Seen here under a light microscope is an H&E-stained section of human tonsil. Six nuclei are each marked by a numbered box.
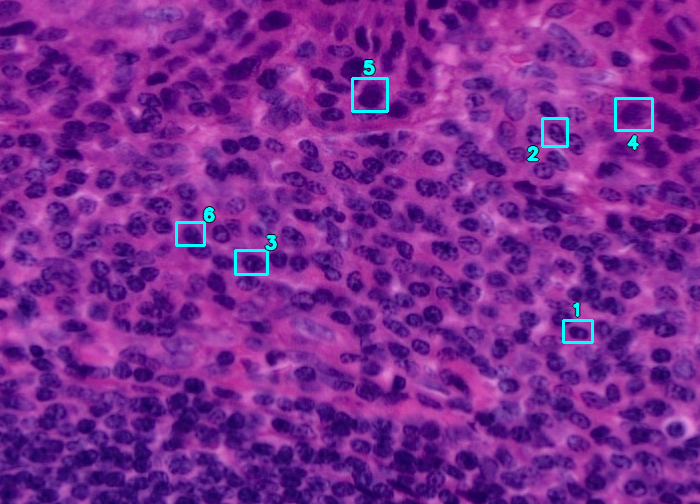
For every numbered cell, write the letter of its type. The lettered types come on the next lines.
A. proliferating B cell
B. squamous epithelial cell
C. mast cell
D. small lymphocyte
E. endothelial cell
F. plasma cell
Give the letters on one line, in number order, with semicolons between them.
F; F; F; B; B; F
